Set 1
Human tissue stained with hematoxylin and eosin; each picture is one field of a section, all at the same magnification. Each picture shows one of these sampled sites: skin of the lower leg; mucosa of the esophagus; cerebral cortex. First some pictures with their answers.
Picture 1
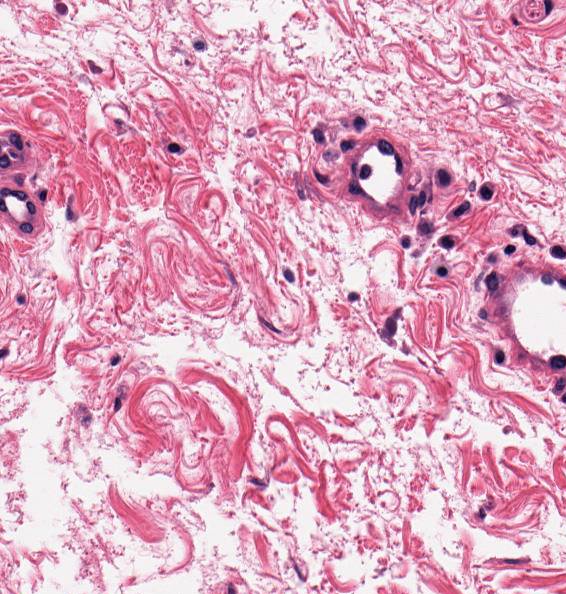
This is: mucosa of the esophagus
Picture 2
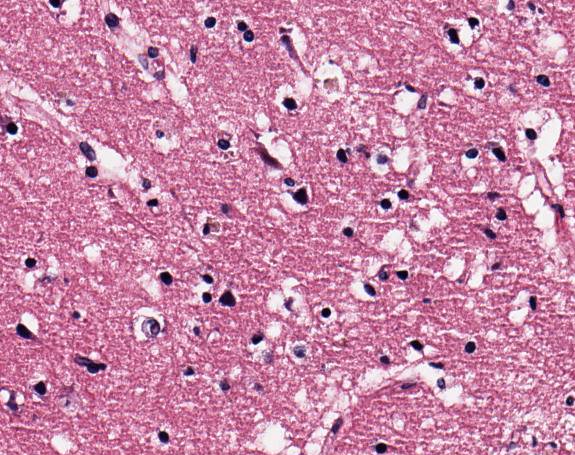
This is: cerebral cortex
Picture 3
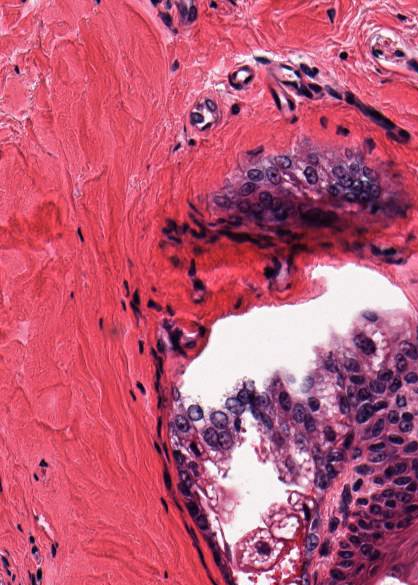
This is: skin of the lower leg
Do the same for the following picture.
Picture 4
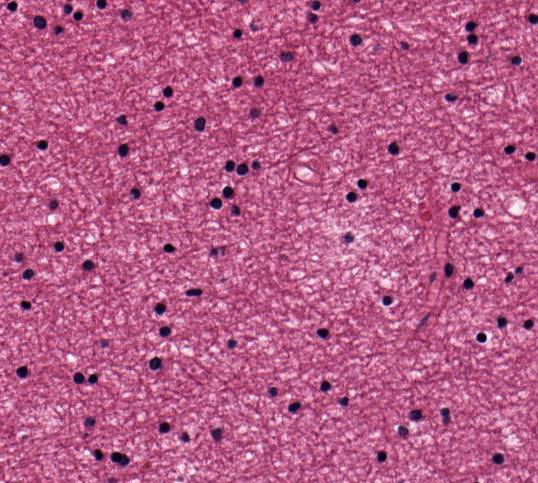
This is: cerebral cortex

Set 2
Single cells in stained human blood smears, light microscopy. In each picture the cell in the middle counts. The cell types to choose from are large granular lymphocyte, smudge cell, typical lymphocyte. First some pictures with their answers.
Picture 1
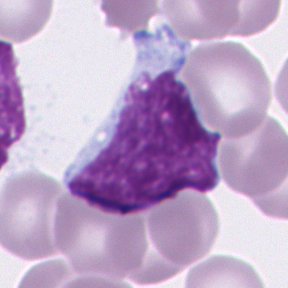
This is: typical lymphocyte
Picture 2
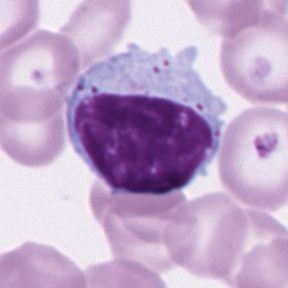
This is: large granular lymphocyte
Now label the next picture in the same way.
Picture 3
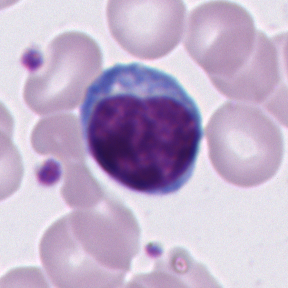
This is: typical lymphocyte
